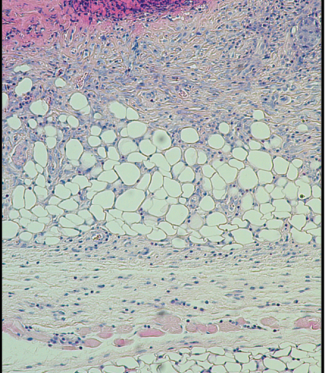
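Section of skin with inflammation and mixed hematopoietic infiltration. The middle and lower part is occupied by many clear, round fat cells of varying size separated by thin septa, with a few dark nuclei between them. Pink fibrous and muscle-like bands cross the lower edge, with scattered nuclei.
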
